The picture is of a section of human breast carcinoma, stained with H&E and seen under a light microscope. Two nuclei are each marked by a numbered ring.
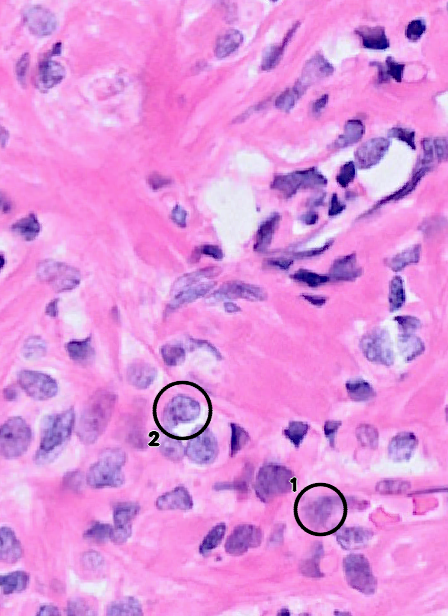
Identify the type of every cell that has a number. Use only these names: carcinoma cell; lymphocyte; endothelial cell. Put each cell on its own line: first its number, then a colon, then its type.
1: endothelial cell
2: carcinoma cell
